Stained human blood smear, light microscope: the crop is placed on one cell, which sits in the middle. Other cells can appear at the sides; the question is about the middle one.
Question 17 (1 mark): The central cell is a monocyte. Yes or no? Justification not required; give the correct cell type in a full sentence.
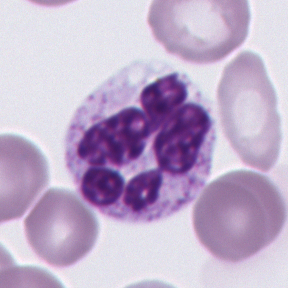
No, what is centred in the crop is not a monocyte but a segmented neutrophil.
